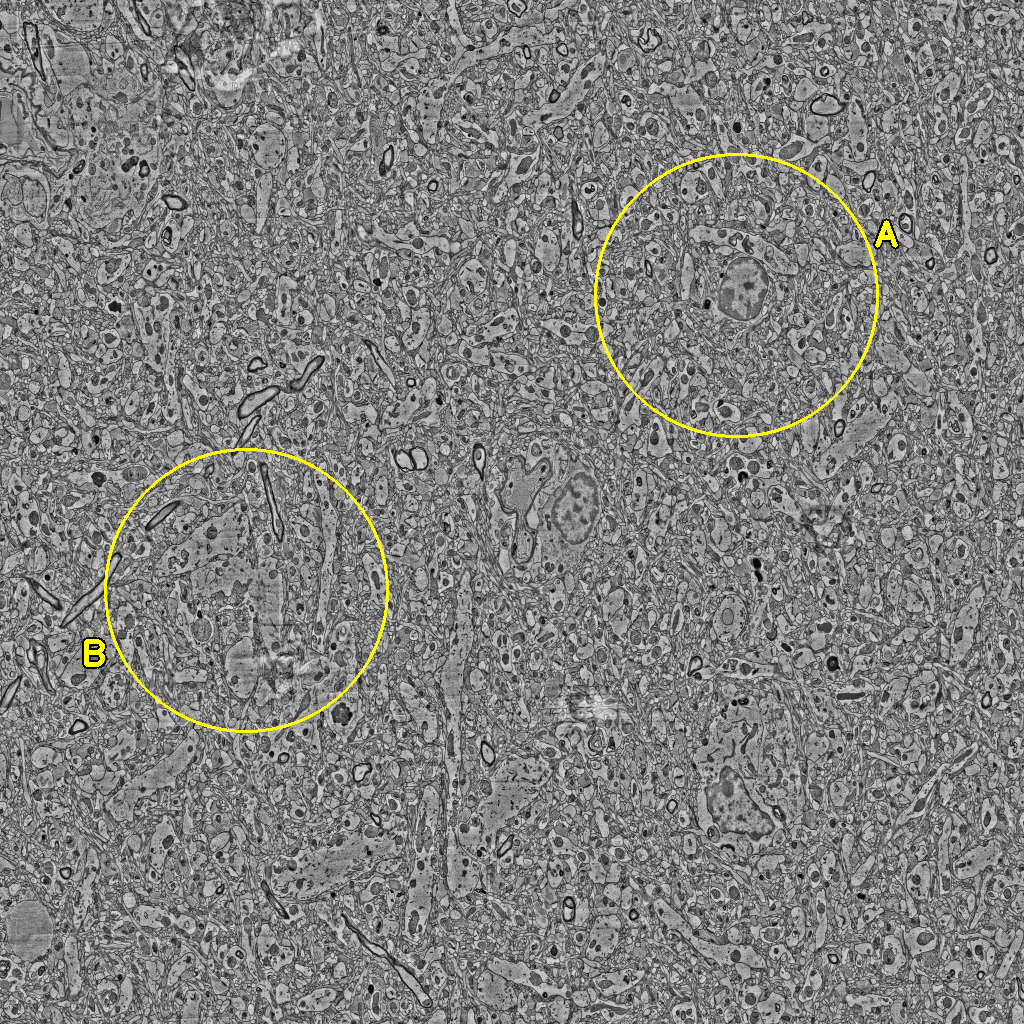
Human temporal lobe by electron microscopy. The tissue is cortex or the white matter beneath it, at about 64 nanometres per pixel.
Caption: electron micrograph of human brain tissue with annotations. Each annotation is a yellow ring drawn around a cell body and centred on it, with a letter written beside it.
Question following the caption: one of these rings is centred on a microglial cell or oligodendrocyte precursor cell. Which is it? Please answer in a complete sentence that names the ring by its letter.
The ring with the letter A is centred on it.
